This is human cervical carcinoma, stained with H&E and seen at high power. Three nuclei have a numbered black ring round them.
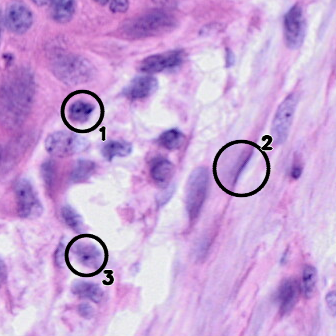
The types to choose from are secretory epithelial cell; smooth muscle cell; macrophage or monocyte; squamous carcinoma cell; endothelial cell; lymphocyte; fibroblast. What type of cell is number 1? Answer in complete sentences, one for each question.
The nucleus labeled 1 belongs to a lymphocyte.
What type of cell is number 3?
The cell indicated with the number 3 is classed as a fibroblast.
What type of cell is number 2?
Identified as a fibroblast is the cell bearing the number 2.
